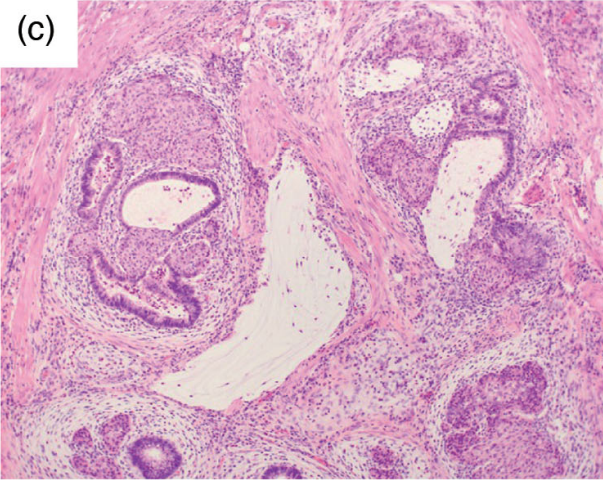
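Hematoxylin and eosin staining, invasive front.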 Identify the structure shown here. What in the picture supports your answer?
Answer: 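Mucin pool. Large pale, nearly acellular lakes lie within the stroma. Glands and cell nests sit next to the pale lakes, set in pink fibrous stroma.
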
